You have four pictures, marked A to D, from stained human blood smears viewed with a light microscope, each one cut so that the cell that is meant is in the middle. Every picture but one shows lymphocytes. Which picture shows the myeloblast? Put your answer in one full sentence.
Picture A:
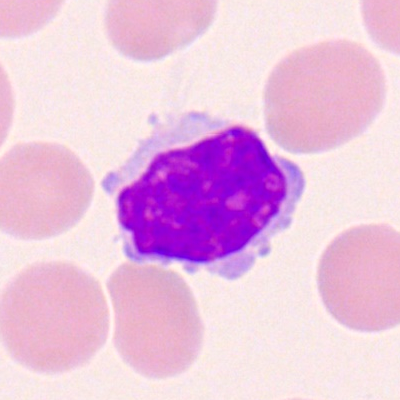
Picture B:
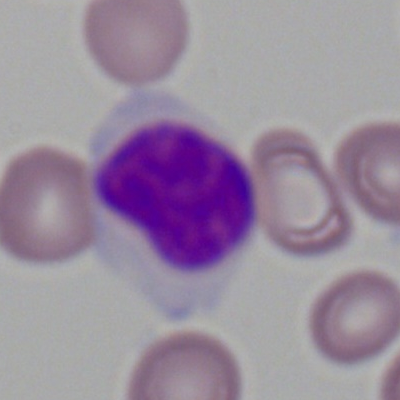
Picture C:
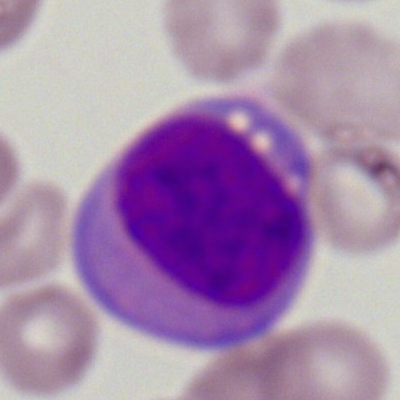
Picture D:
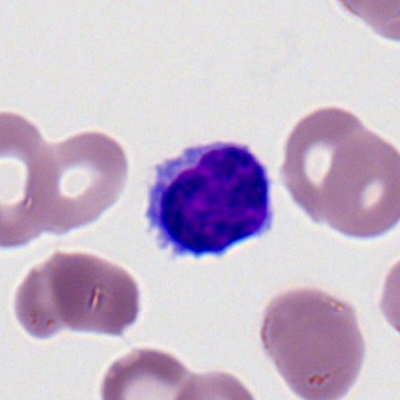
It is picture C that shows the myeloblast.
